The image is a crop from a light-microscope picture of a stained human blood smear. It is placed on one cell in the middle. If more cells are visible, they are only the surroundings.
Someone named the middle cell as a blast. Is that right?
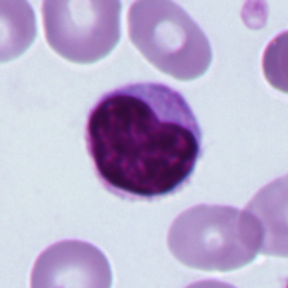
no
